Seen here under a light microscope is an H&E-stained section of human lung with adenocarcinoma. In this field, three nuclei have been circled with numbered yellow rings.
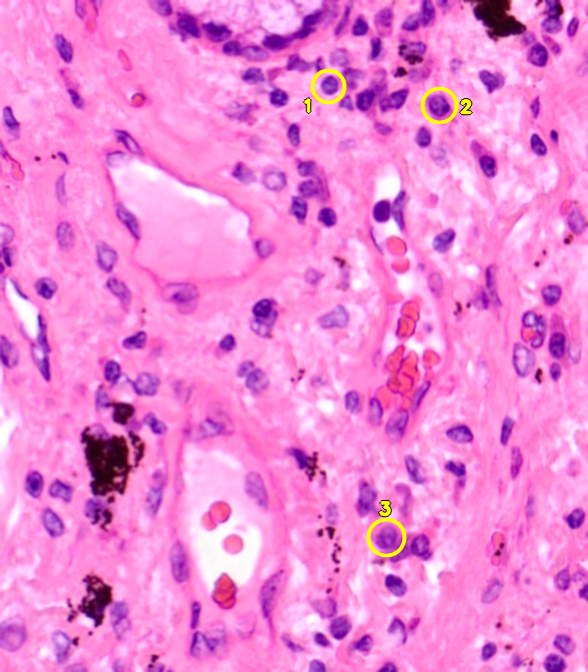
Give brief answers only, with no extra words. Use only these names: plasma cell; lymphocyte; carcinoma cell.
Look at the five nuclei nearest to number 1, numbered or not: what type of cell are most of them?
plasma cell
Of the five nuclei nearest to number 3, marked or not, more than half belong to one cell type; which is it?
plasma cell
